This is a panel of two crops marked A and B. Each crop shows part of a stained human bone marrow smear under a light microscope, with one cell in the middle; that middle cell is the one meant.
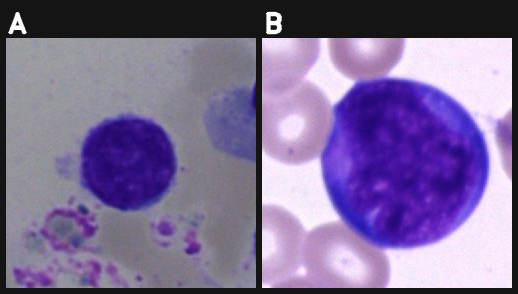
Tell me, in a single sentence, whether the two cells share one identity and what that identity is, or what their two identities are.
No, a lymphocyte is shown in crop A and a blast in crop B.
